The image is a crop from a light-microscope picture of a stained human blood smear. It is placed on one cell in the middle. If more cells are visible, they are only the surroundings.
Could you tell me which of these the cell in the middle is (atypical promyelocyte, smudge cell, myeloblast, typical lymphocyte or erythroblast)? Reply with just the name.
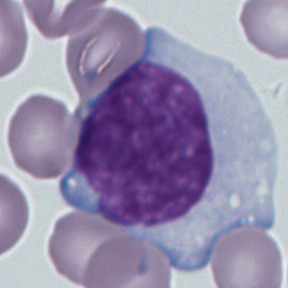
myeloblast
